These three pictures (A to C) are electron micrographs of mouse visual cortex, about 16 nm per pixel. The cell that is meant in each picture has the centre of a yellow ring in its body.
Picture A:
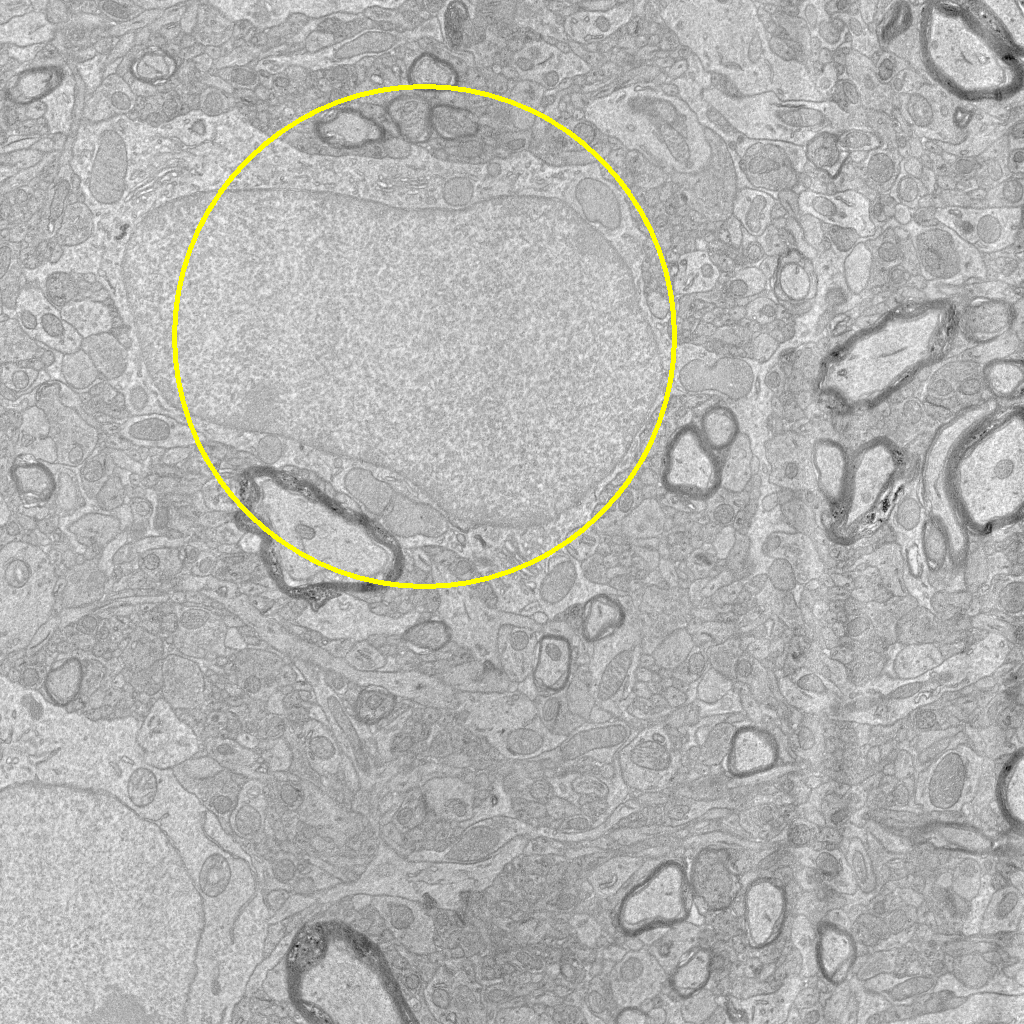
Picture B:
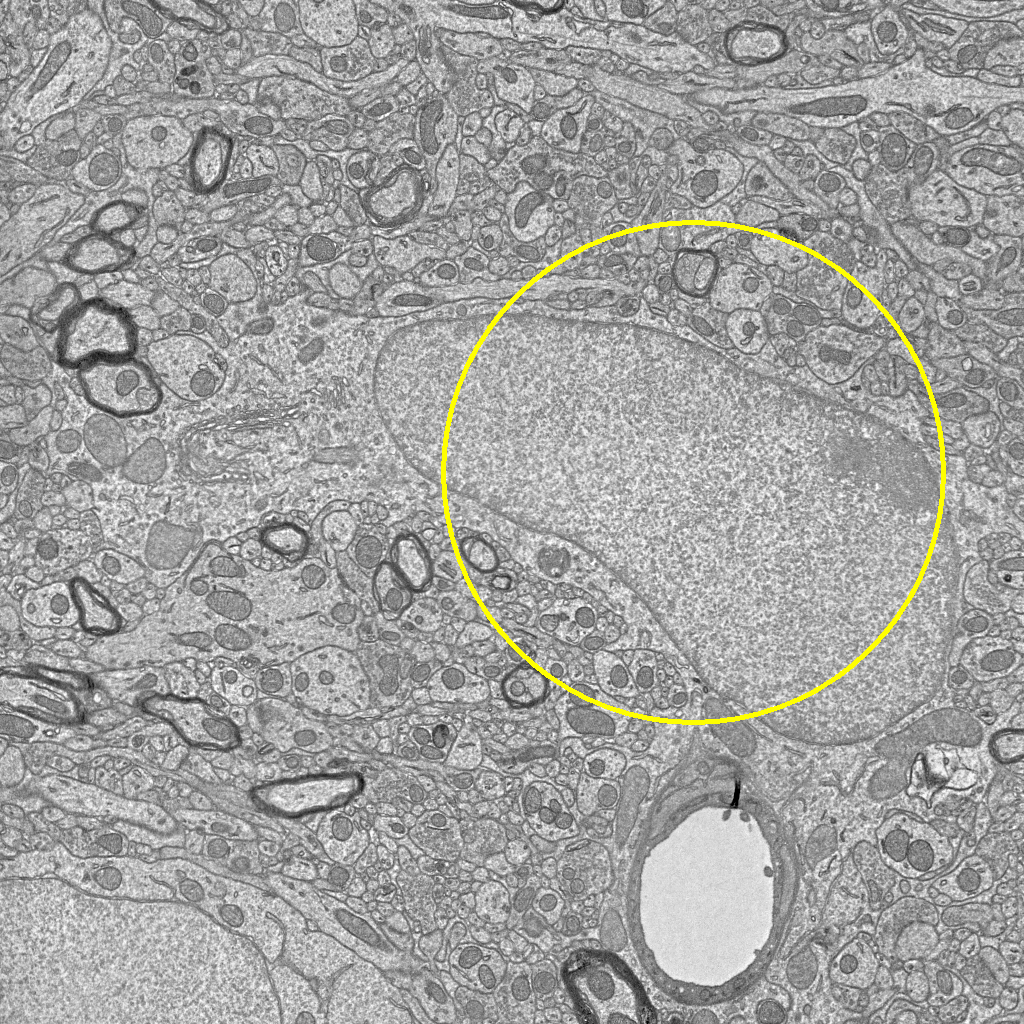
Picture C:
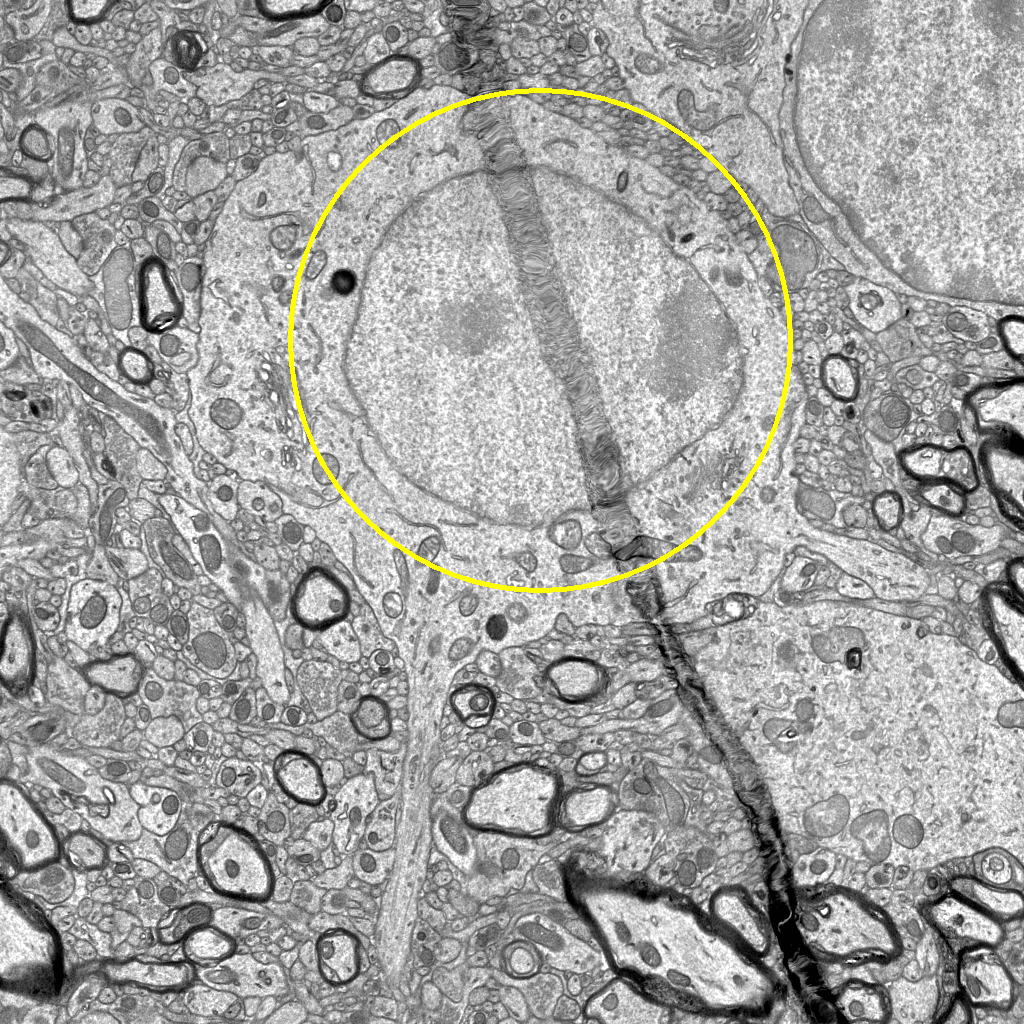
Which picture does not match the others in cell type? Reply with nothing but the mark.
C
